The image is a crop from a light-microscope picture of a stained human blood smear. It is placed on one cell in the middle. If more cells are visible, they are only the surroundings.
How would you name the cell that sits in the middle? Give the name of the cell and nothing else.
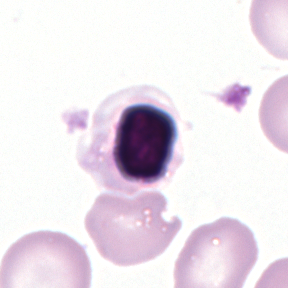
erythroblast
